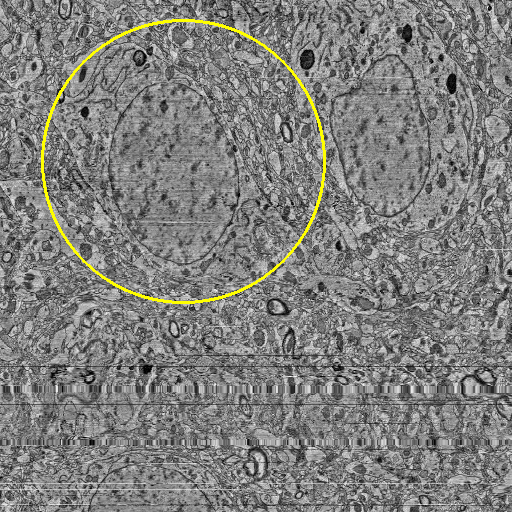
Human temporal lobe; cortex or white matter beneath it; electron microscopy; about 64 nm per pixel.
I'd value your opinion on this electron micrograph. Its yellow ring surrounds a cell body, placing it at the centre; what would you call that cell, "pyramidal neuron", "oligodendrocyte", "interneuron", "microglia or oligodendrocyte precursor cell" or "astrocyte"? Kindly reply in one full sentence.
It is a pyramidal neuron that sits centred within the yellow ring in this micrograph.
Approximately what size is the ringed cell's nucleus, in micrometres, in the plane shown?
The ringed cell's nucleus is about 12 micrometres long and 8 micrometres wide in this plane.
